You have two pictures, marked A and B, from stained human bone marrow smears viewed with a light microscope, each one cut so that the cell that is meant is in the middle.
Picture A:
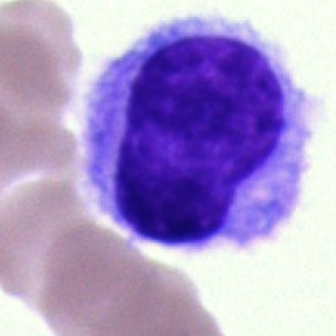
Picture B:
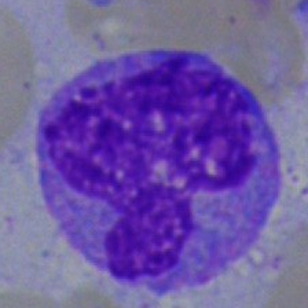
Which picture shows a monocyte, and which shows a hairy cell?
A: hairy cell
B: monocyte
